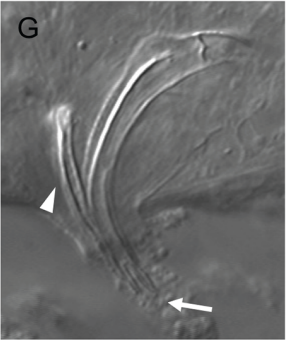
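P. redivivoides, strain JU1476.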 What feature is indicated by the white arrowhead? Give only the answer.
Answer: Gubernaculum.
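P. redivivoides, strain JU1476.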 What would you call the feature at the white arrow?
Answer: forked ventral end of the spicules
